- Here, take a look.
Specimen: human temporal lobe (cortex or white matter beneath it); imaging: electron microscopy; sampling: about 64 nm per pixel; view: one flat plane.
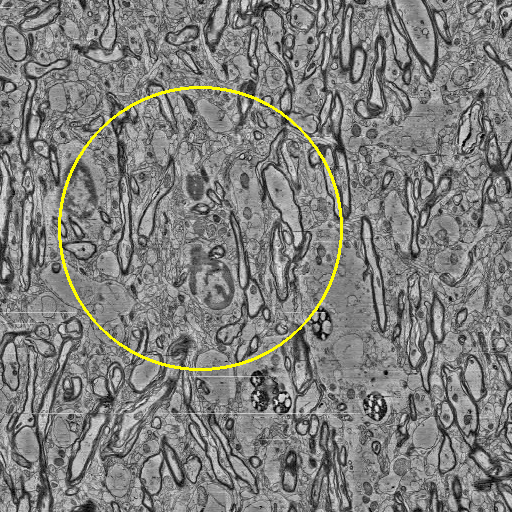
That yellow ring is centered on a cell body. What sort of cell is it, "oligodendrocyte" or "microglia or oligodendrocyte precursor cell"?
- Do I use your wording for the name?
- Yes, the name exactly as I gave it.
microglia or oligodendrocyte precursor cell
